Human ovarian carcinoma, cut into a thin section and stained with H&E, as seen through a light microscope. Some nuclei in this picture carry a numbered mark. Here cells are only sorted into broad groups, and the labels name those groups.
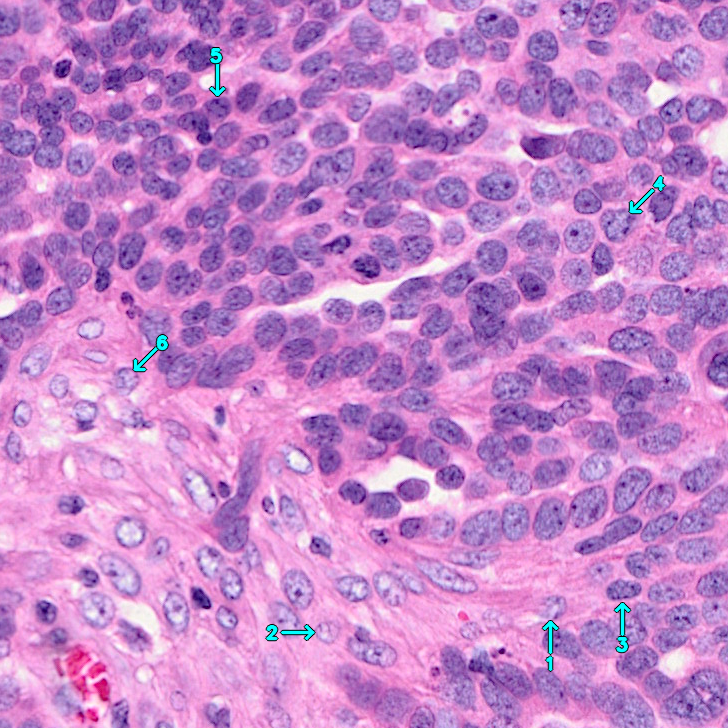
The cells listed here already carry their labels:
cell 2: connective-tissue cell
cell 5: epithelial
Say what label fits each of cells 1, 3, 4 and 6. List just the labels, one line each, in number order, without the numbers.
connective-tissue cell
epithelial
epithelial
connective-tissue cell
